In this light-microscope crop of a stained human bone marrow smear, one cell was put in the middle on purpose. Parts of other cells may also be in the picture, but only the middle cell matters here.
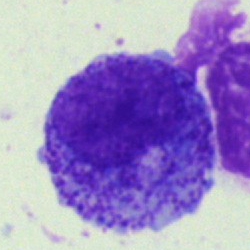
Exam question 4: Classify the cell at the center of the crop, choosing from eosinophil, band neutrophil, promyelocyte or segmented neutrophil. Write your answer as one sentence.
The crop centres on a single cell, and that cell is a promyelocyte.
